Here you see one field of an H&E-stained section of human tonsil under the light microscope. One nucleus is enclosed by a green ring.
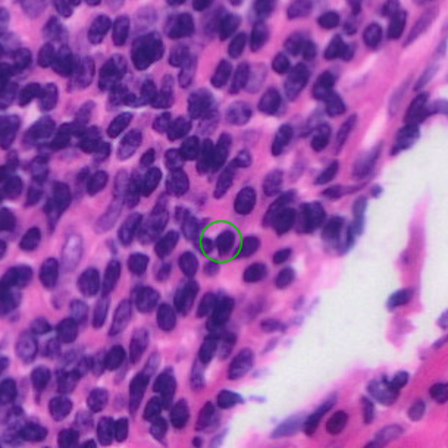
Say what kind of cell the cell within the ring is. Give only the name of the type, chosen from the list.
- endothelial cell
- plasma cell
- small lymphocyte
small lymphocyte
